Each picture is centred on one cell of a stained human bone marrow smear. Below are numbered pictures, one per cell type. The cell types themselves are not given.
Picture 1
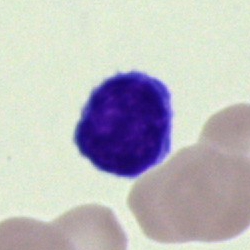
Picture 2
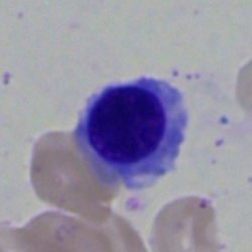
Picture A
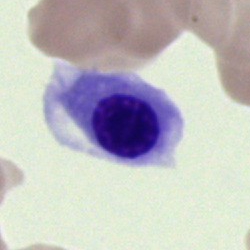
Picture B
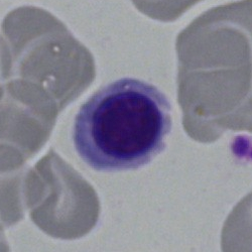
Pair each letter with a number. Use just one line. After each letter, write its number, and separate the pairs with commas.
A 2, B 2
